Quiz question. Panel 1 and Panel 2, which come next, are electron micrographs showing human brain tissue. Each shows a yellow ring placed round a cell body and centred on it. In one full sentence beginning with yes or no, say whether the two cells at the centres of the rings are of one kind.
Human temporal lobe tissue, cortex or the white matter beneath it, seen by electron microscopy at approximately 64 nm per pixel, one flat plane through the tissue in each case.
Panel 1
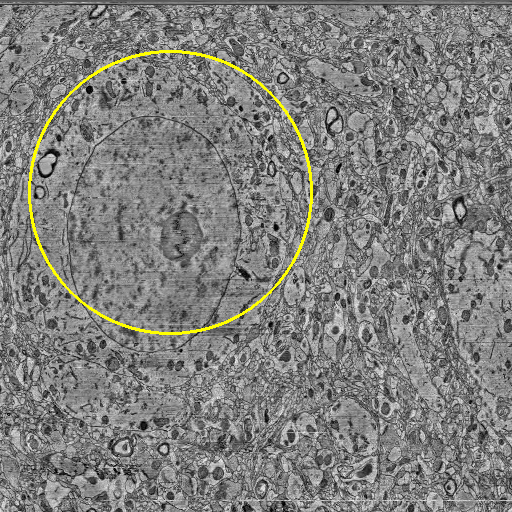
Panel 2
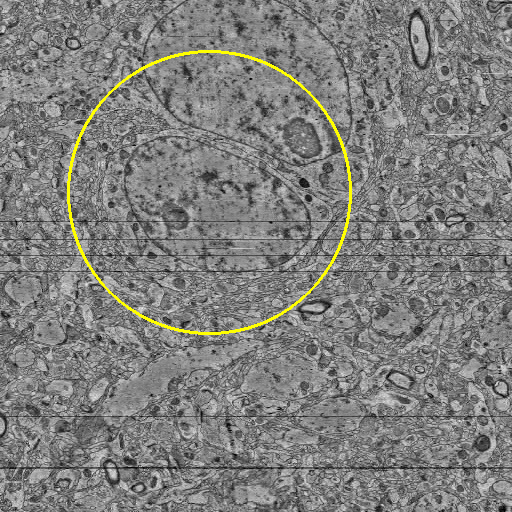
Yes, Panel 1 and Panel 2 show one kind of cell at the centre of the ring.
